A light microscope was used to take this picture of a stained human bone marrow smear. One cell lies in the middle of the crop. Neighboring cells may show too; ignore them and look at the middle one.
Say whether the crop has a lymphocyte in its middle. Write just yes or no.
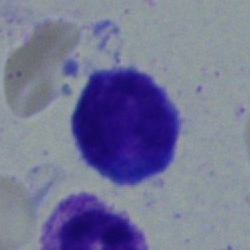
yes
